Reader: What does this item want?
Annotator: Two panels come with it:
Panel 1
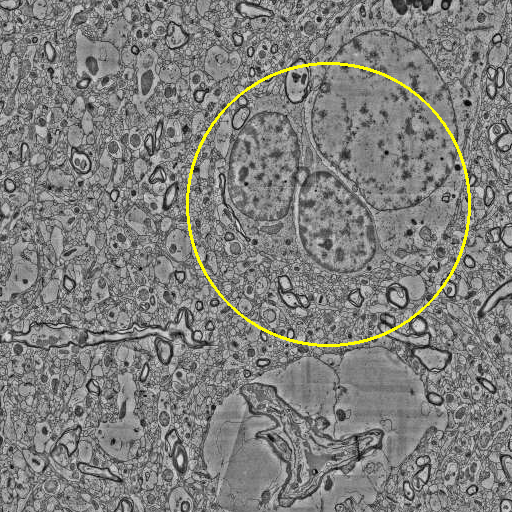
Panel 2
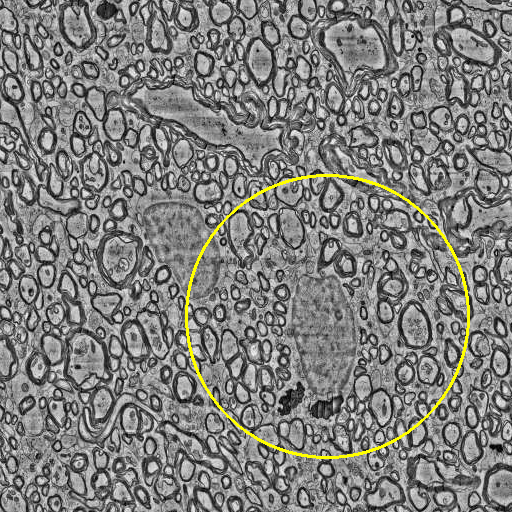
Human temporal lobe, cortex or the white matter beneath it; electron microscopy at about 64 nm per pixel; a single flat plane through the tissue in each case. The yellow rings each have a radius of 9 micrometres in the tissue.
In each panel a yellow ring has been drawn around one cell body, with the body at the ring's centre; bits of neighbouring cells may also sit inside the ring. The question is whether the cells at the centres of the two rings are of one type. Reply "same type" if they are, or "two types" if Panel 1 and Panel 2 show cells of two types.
same type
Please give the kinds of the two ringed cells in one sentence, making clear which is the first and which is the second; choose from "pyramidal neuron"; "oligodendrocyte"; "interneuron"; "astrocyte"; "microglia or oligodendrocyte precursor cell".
The ring centre holds an oligodendrocyte in each of the two pictures.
